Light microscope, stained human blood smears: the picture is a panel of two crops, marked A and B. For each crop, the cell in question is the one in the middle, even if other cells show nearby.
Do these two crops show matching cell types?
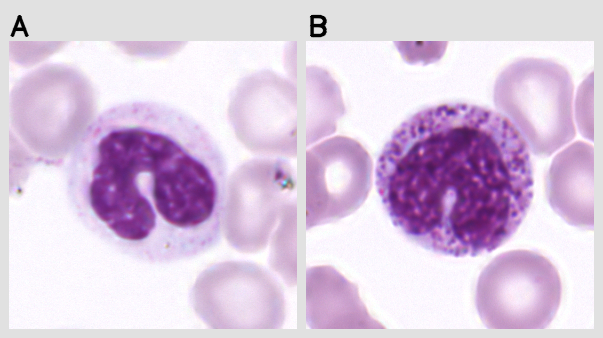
yes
